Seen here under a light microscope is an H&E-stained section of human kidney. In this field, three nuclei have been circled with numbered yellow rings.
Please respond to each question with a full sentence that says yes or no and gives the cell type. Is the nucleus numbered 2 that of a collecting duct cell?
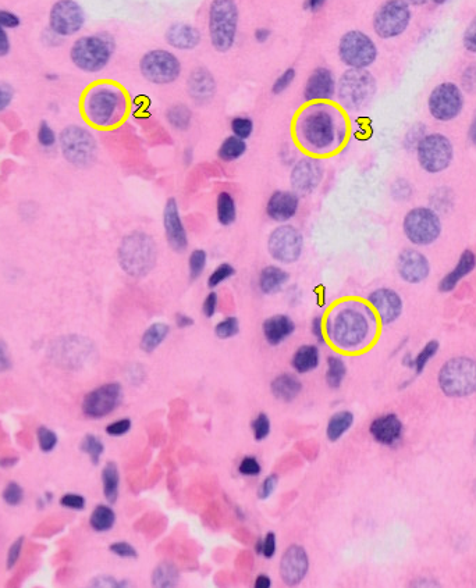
No, cell 2 is not a collecting duct cell at all but an endothelial cell.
